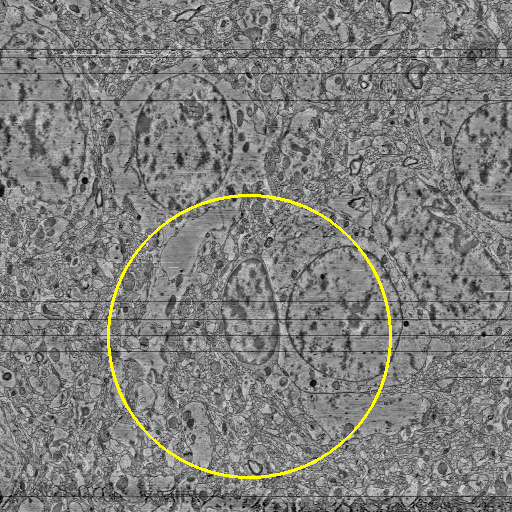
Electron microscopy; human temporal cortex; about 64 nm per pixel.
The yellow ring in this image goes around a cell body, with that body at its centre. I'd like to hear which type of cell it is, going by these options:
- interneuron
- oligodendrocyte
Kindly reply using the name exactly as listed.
oligodendrocyte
